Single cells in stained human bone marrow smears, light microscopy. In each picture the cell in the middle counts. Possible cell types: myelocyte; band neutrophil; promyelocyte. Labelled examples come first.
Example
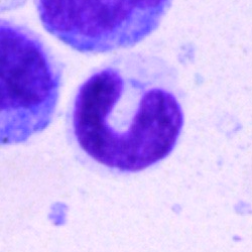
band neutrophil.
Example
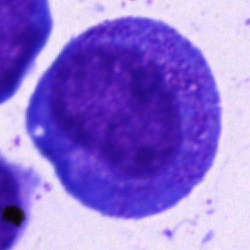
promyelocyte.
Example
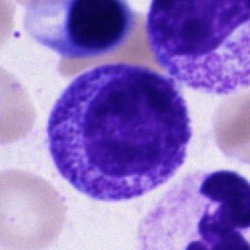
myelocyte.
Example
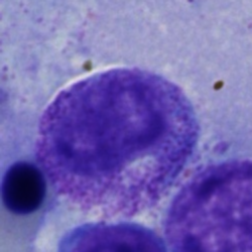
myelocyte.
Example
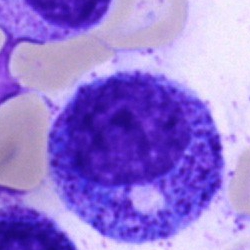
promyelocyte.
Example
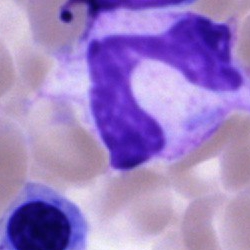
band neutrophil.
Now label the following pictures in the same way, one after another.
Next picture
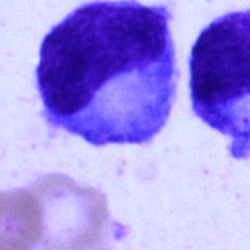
promyelocyte.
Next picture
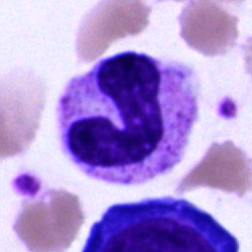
band neutrophil.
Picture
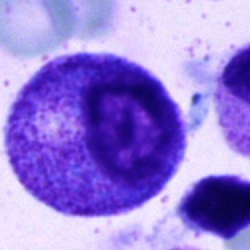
myelocyte.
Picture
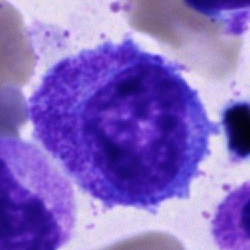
promyelocyte.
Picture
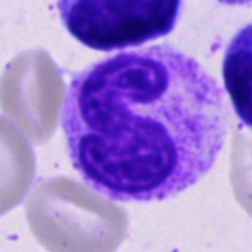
band neutrophil.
